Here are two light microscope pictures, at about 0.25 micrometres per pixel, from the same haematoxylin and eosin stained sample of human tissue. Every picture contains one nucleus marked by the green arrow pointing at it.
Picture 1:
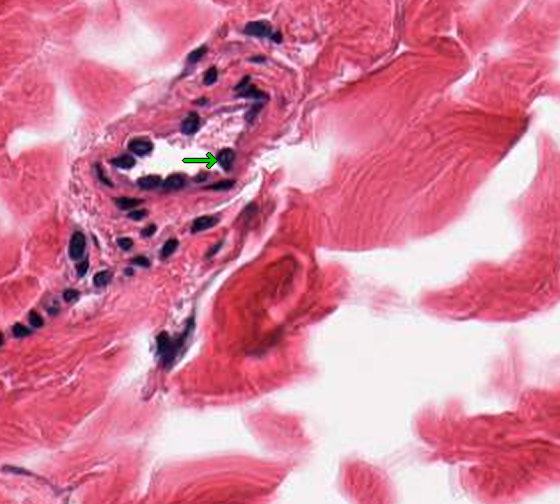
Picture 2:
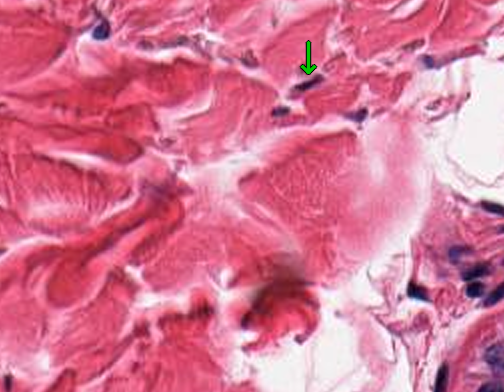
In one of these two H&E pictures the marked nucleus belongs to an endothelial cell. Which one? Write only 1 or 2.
1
